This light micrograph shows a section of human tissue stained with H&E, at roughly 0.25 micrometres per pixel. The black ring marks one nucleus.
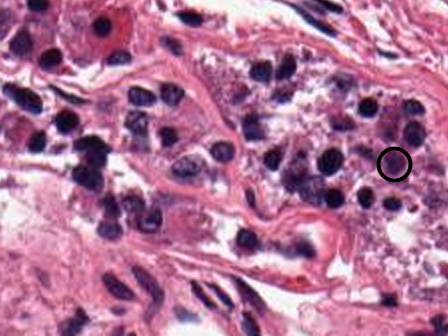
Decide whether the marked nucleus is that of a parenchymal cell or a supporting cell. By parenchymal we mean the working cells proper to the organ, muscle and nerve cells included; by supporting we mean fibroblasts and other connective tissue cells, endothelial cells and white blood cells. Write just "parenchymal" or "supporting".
parenchymal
